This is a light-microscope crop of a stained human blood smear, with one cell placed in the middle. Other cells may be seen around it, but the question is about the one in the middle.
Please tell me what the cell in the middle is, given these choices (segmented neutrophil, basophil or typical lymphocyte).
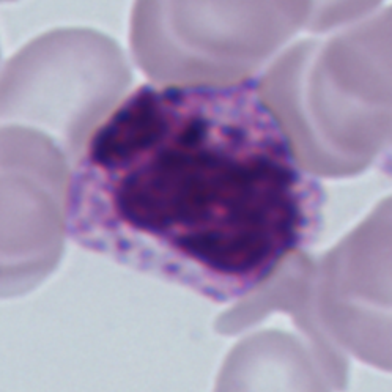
basophil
